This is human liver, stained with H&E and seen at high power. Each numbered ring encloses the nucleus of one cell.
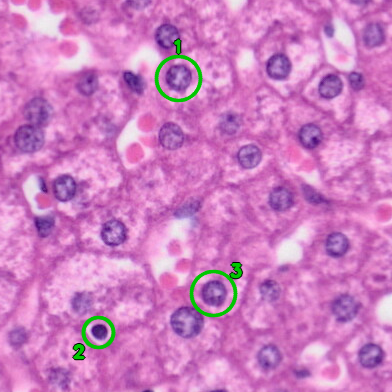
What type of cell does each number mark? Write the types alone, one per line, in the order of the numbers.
hepatocyte
lymphocyte
hepatocyte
